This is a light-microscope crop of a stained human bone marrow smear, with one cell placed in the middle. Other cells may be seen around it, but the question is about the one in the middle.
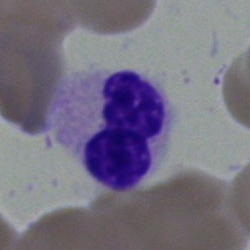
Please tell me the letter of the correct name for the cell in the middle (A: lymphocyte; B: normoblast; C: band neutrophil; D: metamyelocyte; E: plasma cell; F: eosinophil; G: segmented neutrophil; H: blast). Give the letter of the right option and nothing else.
G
